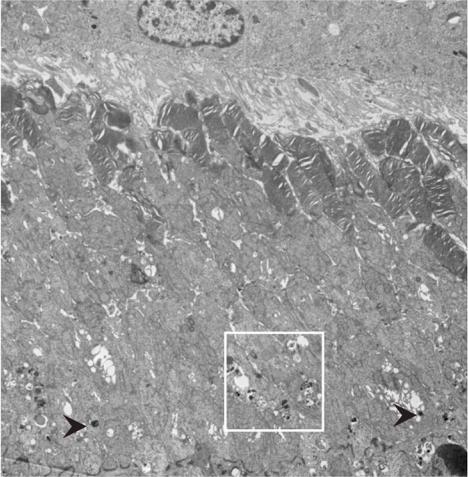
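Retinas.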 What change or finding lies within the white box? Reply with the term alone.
Accumulation of amorphous, electron-dense structures.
